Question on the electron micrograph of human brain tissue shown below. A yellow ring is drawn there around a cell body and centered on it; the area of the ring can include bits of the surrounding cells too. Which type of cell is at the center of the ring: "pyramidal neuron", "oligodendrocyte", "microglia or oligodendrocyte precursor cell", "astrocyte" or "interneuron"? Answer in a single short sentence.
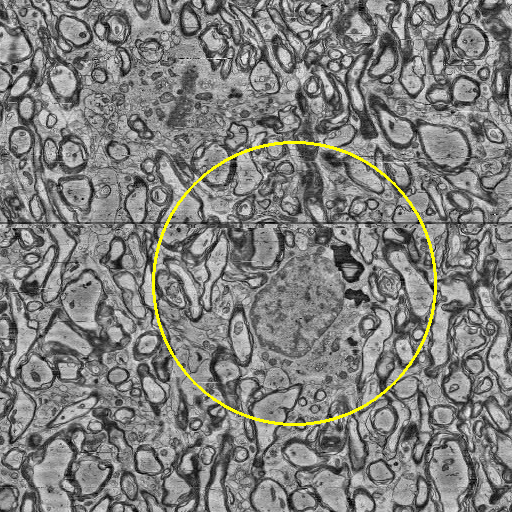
The ring is centered on an oligodendrocyte.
